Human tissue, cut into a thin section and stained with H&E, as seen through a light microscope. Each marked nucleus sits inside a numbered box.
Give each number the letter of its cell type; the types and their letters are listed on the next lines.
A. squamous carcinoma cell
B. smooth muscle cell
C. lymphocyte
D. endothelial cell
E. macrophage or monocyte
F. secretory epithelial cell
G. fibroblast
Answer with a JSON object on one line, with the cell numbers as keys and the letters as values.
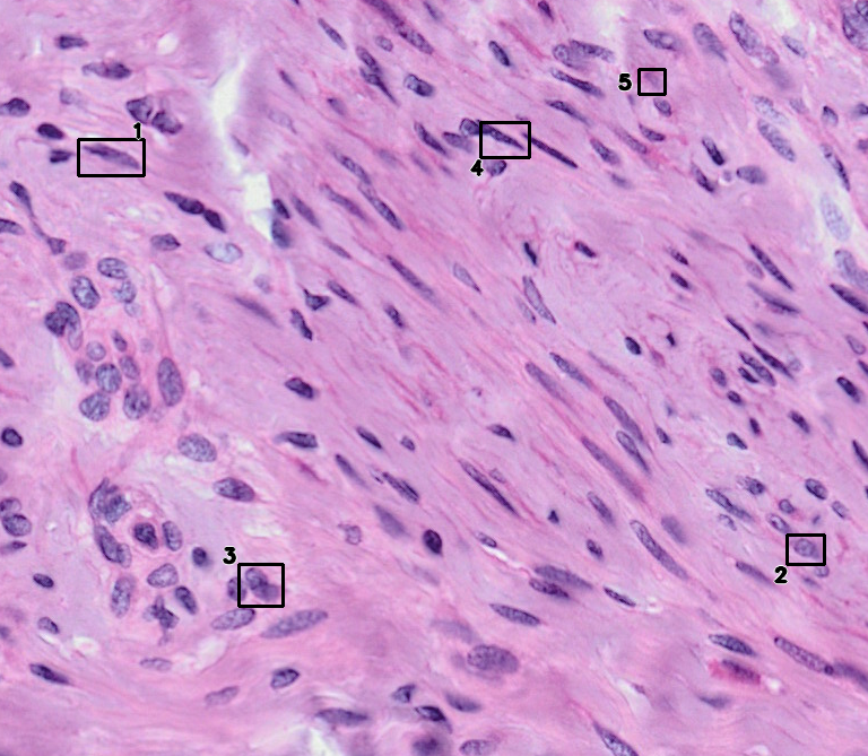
{"1": "G", "2": "B", "3": "G", "4": "G", "5": "B"}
